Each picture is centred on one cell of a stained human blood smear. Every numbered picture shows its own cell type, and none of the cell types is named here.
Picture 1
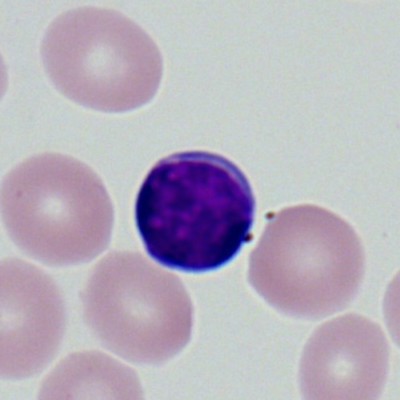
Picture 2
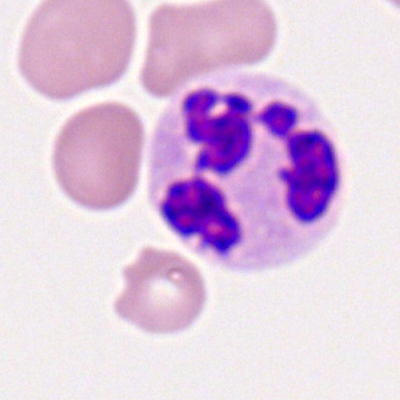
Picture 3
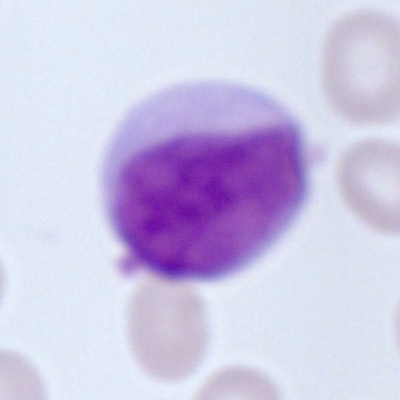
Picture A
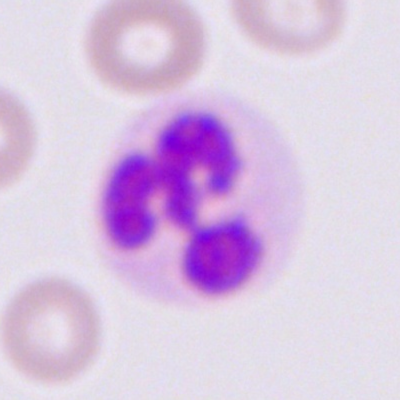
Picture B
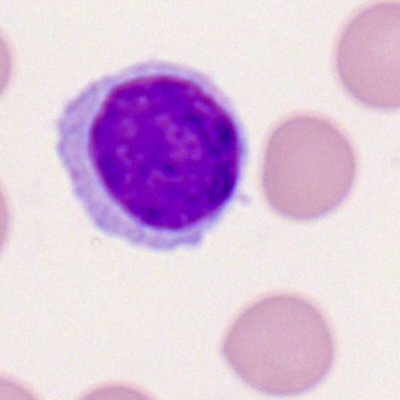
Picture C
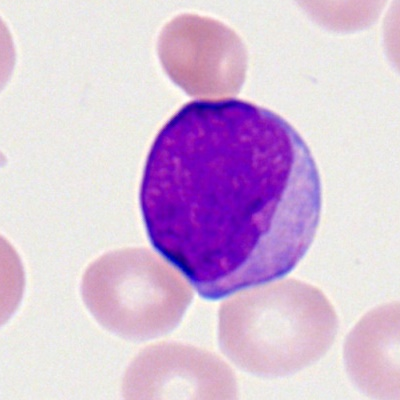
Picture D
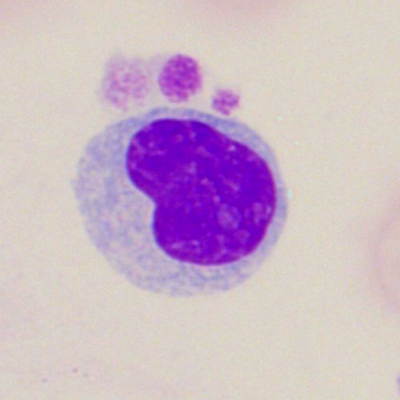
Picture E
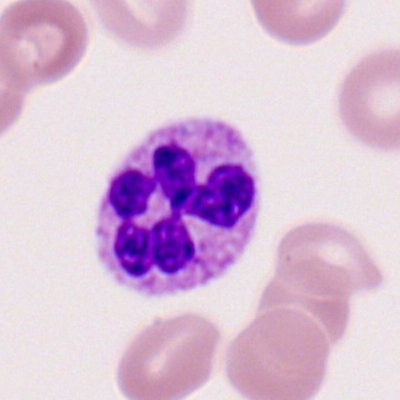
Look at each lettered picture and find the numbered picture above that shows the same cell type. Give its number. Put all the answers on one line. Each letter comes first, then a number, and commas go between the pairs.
A 2, B 1, C 3, D 1, E 2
